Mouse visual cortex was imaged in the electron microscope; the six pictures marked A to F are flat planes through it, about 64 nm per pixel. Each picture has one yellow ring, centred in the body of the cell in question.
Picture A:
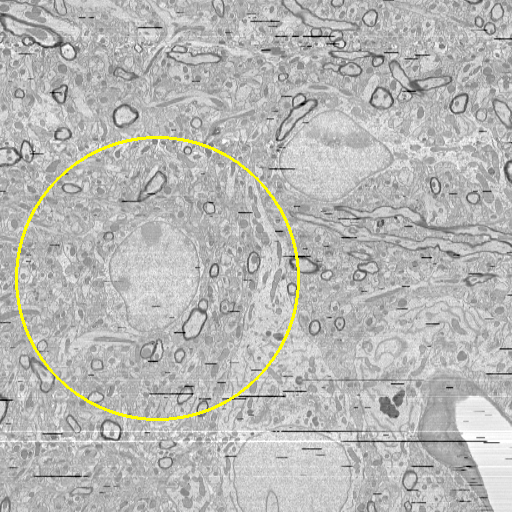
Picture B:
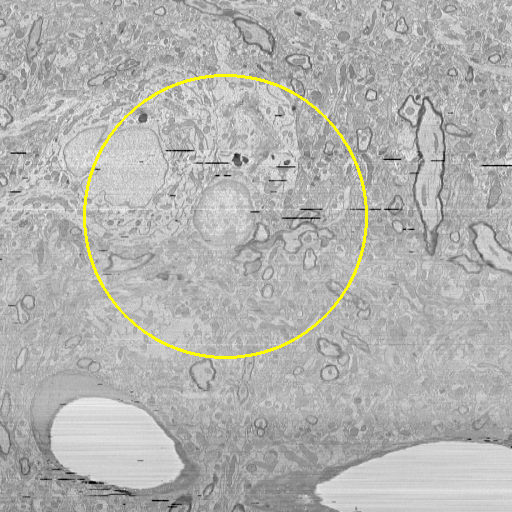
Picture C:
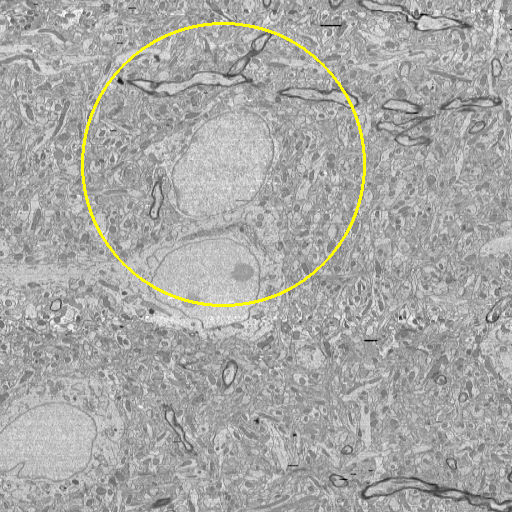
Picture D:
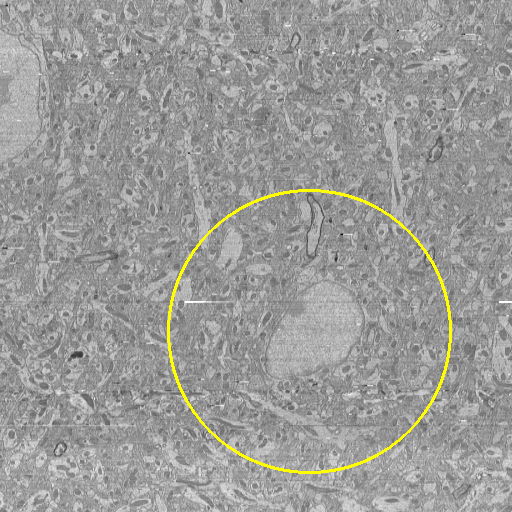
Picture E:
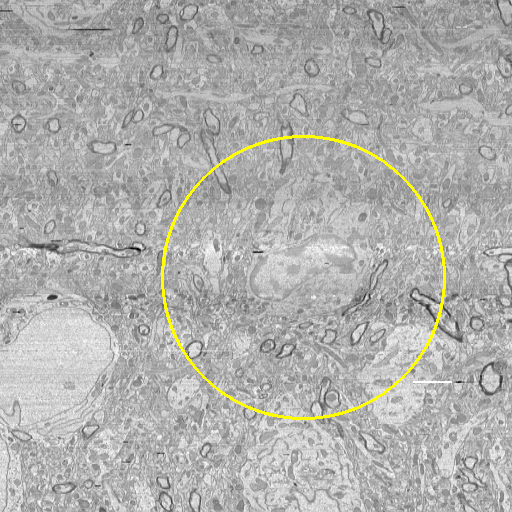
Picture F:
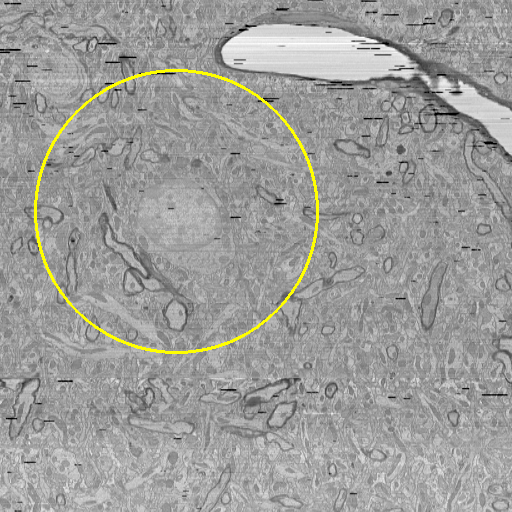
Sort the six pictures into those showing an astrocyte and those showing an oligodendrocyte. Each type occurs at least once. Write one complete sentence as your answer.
Pictures A, C and D show astrocytes; pictures B, E and F show oligodendrocytes.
